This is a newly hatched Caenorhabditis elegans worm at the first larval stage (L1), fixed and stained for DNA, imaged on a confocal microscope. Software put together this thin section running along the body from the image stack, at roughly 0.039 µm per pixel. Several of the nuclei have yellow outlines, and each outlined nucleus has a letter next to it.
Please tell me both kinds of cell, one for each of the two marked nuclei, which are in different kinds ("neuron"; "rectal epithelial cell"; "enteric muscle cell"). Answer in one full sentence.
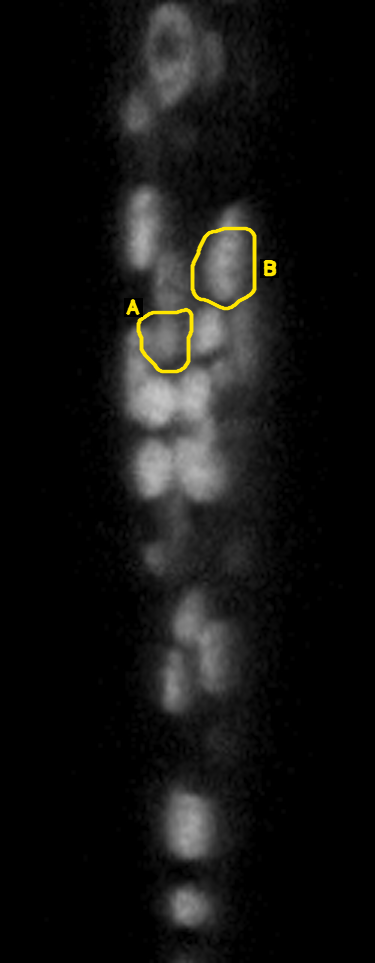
A is in a neuron and B is in an enteric muscle cell.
